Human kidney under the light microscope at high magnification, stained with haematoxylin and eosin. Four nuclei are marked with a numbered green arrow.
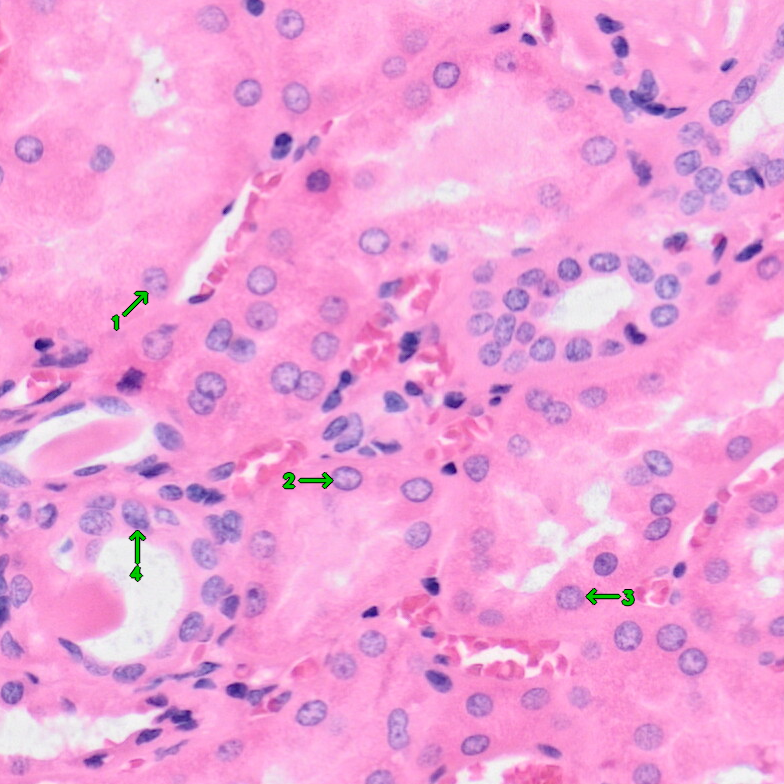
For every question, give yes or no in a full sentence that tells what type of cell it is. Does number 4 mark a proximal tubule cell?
No, the marked cell 4 is not a proximal tubule cell, being instead a collecting duct cell.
